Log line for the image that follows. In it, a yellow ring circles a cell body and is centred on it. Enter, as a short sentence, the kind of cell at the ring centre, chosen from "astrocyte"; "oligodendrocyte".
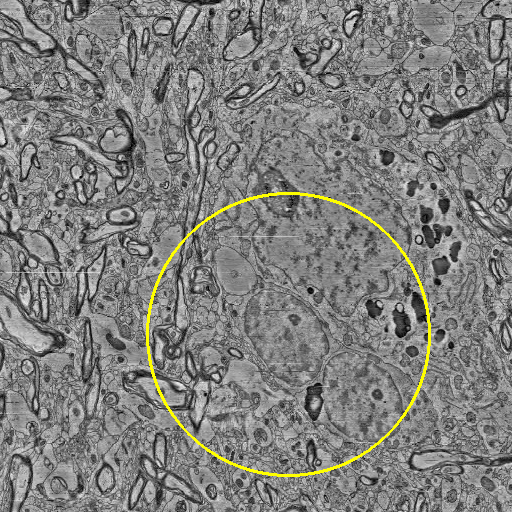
The ring centre is occupied by an oligodendrocyte.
